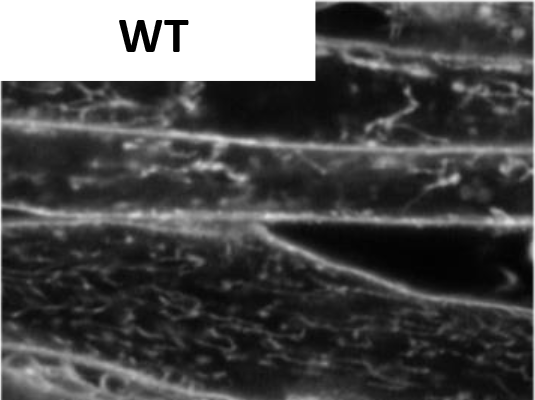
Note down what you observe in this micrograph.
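Several long, parallel cells cross the field, each bordered by a bright line of surface membrane. Inside them runs a dense tangle of thin, wavy bright tubules, mostly oriented along the length of the cells. Some tubules branch and loop, forming a network rather than isolated threads. Scattered small bright dots and rings lie among them toward the bottom of the field.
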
